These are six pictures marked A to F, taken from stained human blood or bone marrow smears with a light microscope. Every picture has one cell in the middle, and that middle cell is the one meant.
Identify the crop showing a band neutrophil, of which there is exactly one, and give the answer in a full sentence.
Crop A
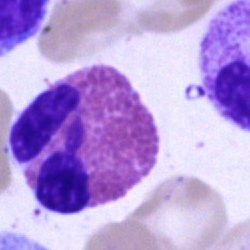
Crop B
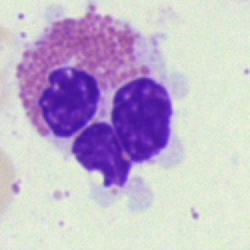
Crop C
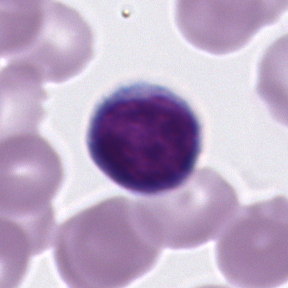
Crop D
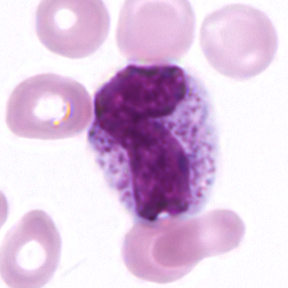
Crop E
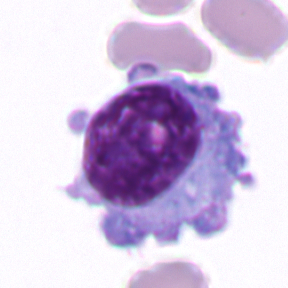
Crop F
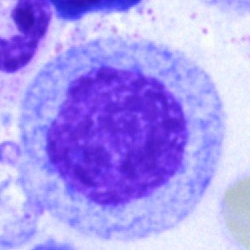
The crop marked D is the one in which a band neutrophil is shown.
